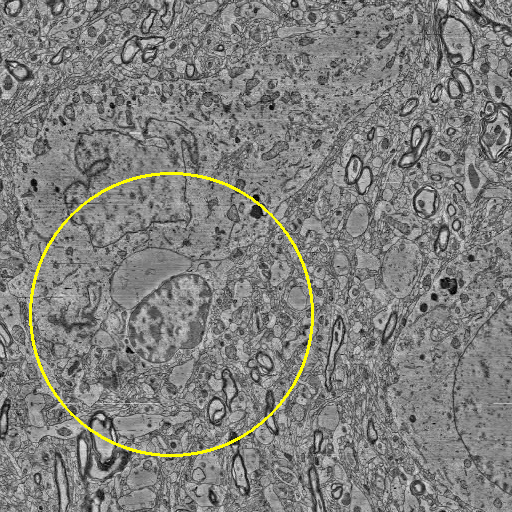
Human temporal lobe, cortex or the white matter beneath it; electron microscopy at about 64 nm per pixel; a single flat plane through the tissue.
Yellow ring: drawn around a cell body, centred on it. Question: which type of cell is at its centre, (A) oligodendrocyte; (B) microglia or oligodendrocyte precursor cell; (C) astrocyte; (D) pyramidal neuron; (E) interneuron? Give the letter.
B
